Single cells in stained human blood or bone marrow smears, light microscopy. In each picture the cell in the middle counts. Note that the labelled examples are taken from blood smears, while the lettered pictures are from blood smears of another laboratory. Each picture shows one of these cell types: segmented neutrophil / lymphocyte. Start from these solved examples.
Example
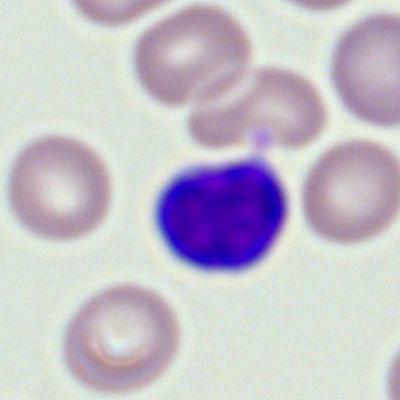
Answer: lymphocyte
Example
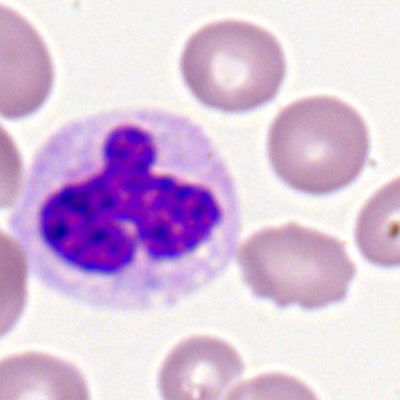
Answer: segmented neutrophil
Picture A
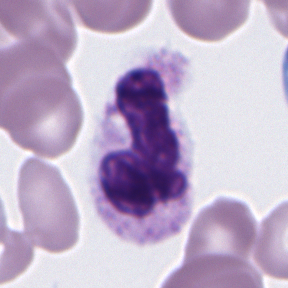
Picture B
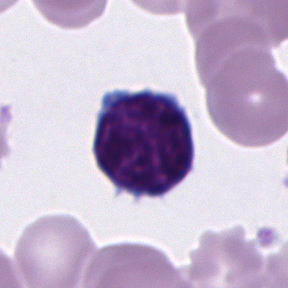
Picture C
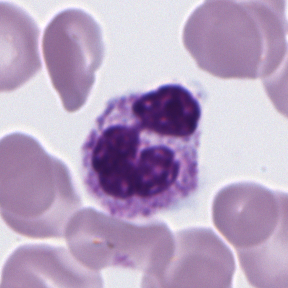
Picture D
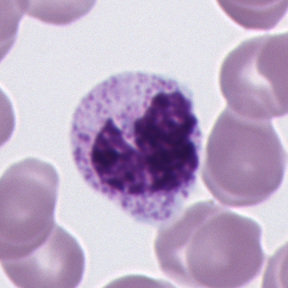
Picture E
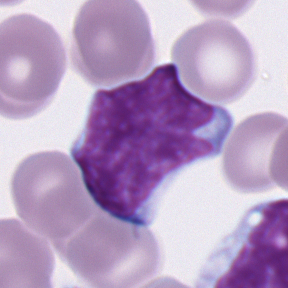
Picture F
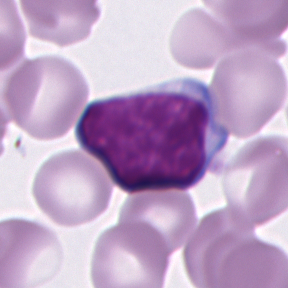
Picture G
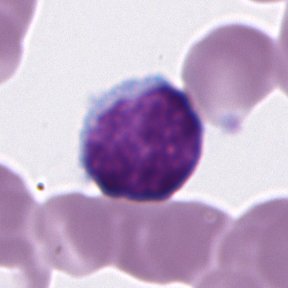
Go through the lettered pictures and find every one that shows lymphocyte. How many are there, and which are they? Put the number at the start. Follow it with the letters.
4: B, E, F, G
